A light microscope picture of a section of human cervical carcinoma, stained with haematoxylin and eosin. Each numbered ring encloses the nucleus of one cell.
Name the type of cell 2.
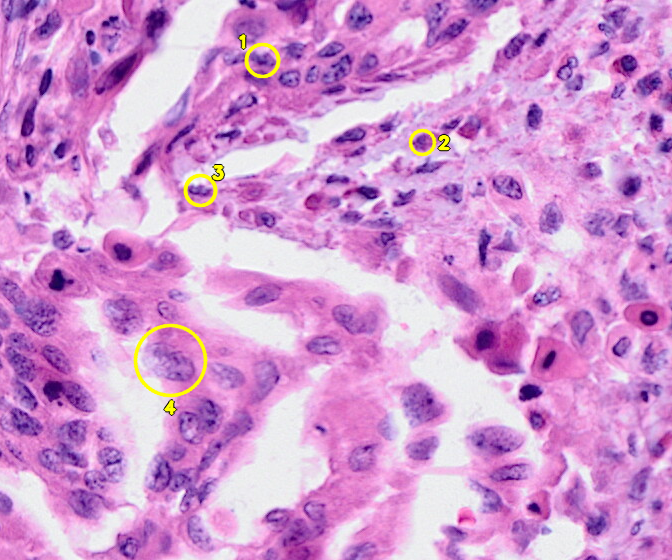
fibroblast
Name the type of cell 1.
squamous carcinoma cell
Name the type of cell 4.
squamous carcinoma cell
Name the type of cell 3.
fibroblast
